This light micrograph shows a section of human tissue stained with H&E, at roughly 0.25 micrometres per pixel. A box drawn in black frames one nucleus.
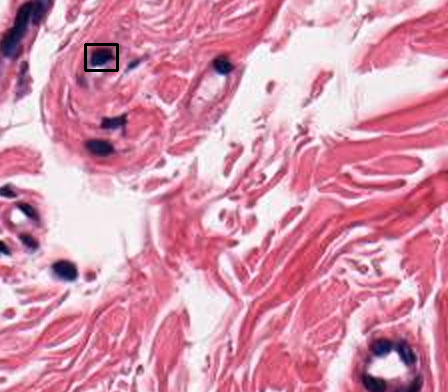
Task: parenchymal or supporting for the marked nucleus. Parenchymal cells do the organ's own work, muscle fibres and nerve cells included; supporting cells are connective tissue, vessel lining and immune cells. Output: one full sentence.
That the marked nucleus belongs to a supporting cell is what the section shows.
